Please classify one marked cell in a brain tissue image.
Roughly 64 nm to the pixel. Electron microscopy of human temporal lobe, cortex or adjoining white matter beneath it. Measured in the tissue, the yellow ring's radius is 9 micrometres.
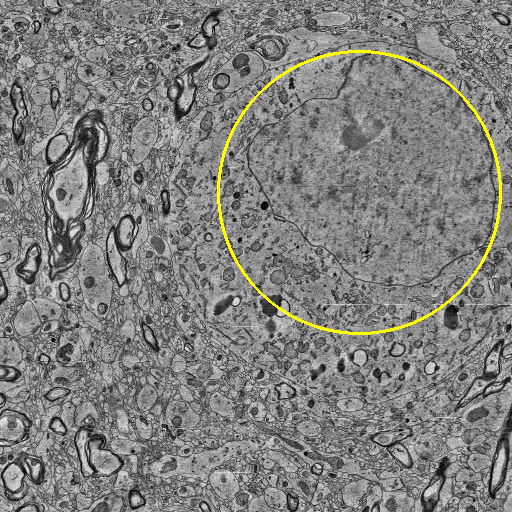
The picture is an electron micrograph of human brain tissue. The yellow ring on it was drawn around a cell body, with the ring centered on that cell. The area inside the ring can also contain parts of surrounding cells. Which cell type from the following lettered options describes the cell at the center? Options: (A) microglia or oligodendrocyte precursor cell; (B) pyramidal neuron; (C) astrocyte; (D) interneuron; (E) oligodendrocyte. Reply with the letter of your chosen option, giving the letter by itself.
B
